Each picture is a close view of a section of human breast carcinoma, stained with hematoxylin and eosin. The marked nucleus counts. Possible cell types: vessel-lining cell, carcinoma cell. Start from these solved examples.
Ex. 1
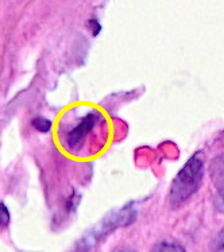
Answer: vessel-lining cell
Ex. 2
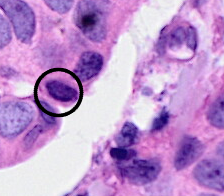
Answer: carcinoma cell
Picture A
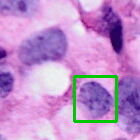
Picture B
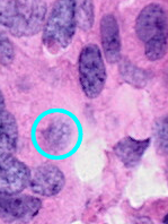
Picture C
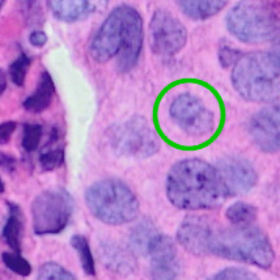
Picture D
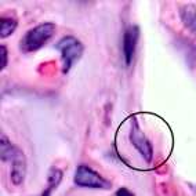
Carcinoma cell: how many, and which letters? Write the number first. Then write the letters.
3: A, B, C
